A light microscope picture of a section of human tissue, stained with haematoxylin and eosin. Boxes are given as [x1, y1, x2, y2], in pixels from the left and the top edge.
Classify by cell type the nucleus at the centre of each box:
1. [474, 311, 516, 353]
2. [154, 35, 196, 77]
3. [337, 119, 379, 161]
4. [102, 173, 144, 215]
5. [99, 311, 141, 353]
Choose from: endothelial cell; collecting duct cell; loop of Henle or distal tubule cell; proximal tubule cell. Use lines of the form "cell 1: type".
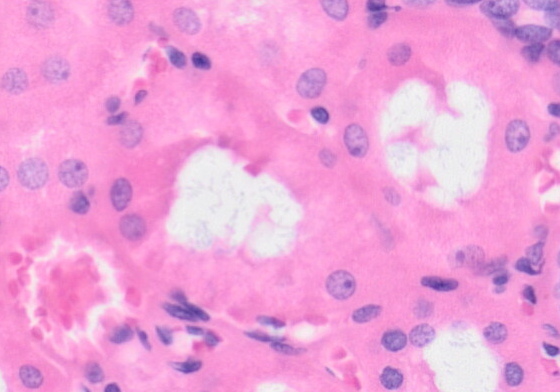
cell 1: loop of Henle or distal tubule cell
cell 2: endothelial cell
cell 3: proximal tubule cell
cell 4: proximal tubule cell
cell 5: endothelial cell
